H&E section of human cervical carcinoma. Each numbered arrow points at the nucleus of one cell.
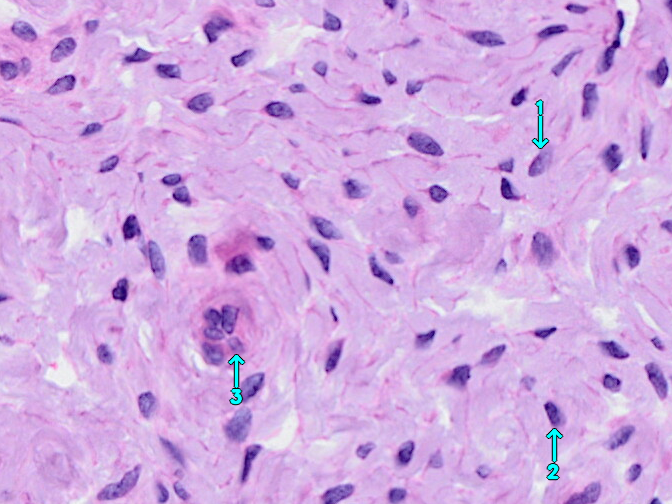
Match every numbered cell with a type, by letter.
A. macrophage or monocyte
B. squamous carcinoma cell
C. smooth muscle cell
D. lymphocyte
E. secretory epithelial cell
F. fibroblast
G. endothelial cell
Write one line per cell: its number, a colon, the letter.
1: F
2: F
3: G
